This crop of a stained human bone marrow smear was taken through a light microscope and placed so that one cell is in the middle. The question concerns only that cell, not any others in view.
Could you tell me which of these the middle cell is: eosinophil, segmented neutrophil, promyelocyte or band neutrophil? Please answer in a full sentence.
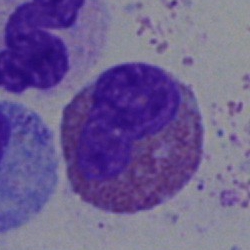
In the centre of this crop there is an eosinophil.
